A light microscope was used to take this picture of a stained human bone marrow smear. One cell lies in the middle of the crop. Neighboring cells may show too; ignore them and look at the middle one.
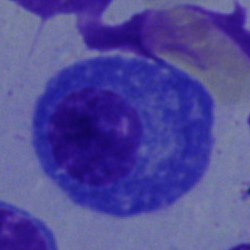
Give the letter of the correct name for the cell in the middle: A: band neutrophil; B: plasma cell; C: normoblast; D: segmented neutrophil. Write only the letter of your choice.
B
